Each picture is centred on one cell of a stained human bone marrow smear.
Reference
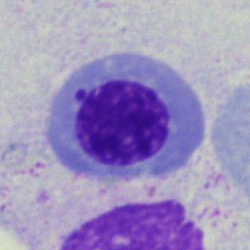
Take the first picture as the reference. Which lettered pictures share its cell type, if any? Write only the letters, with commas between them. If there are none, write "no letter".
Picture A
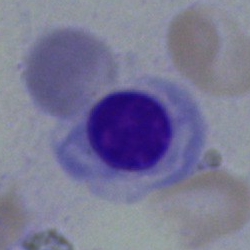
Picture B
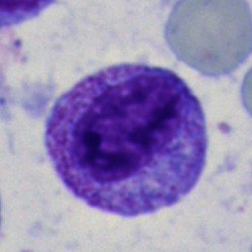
A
